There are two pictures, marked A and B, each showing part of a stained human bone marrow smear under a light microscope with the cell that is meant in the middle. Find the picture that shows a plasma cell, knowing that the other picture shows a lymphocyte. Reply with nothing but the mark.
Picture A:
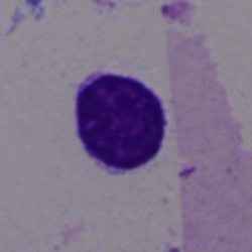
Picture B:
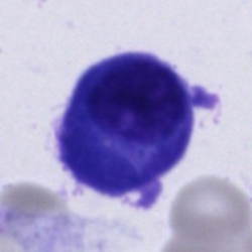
B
